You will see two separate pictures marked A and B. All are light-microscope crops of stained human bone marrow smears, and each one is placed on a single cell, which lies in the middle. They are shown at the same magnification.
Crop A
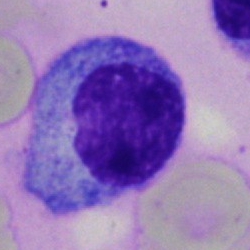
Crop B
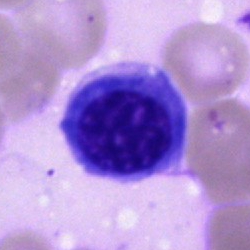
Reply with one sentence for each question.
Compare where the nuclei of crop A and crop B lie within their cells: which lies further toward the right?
It is the nucleus in crop A that lies further toward the right of its cell.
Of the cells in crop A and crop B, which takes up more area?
Crop A holds the larger cell; it covers about 2 times the area of the cell in crop B.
